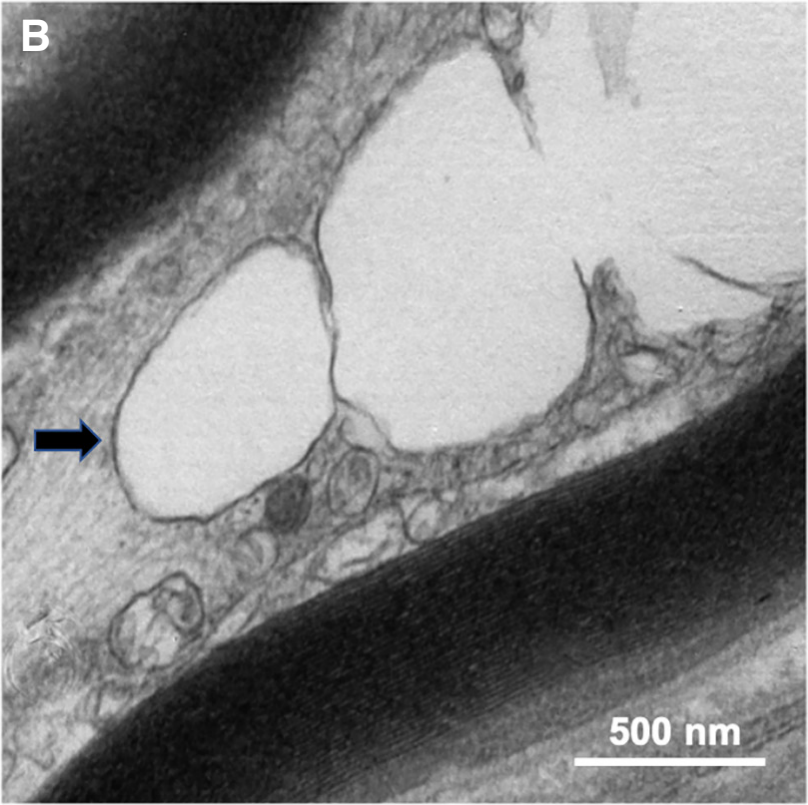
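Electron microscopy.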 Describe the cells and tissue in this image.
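This is an electron micrograph of a nerve fiber with mitochondria in its axoplasm, which lies between dark, dense bands. Two large, pale profiles are each bounded by a membrane, and their interiors are almost empty, with no organized cristae. Smaller mitochondria nearby are still compact and have internal membranes. The swollen profiles fill much of the width of the axoplasm.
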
